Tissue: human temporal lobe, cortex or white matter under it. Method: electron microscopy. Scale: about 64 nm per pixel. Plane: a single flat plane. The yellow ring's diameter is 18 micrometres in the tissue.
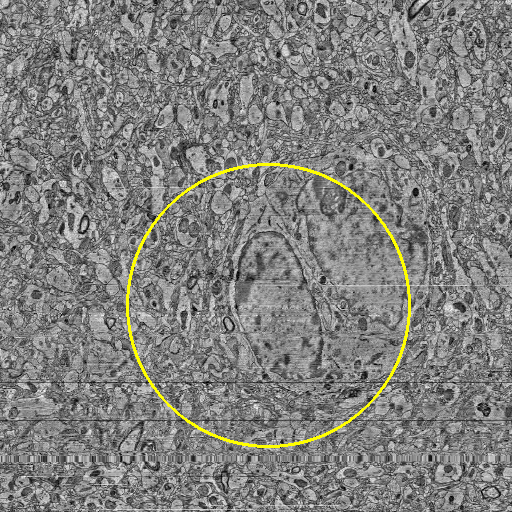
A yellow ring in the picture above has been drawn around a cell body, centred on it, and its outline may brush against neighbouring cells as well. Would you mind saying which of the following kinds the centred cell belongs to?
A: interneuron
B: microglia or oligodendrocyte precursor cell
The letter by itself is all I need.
B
